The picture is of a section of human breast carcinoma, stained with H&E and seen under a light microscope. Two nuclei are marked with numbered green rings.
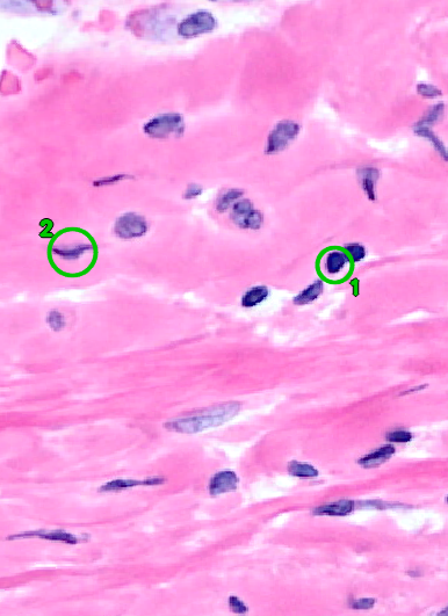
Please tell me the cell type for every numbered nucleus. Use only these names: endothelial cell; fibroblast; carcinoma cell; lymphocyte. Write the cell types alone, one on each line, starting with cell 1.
lymphocyte
fibroblast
